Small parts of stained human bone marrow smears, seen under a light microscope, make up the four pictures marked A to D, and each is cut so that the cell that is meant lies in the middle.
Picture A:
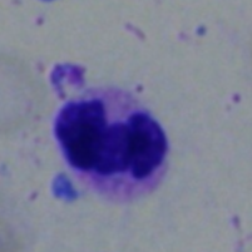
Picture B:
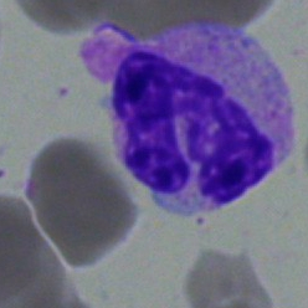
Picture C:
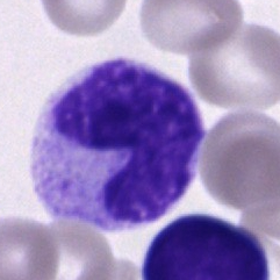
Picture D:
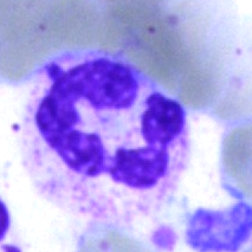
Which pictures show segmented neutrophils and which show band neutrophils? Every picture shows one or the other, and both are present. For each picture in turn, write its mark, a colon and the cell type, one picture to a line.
A: segmented neutrophil
B: band neutrophil
C: band neutrophil
D: segmented neutrophil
